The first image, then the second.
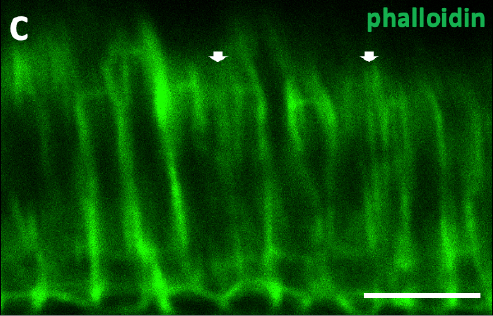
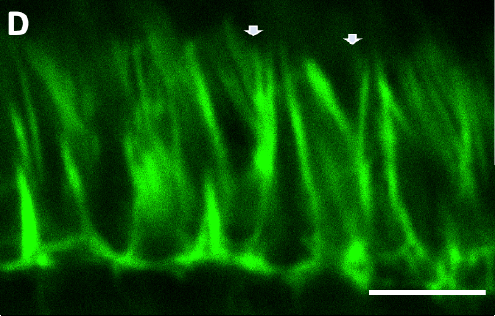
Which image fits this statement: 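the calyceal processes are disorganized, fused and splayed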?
the second image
